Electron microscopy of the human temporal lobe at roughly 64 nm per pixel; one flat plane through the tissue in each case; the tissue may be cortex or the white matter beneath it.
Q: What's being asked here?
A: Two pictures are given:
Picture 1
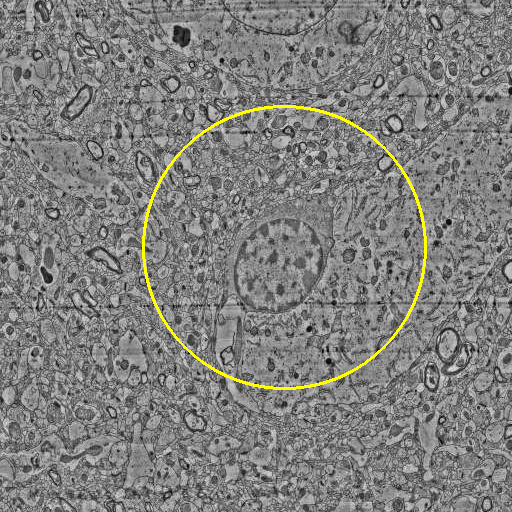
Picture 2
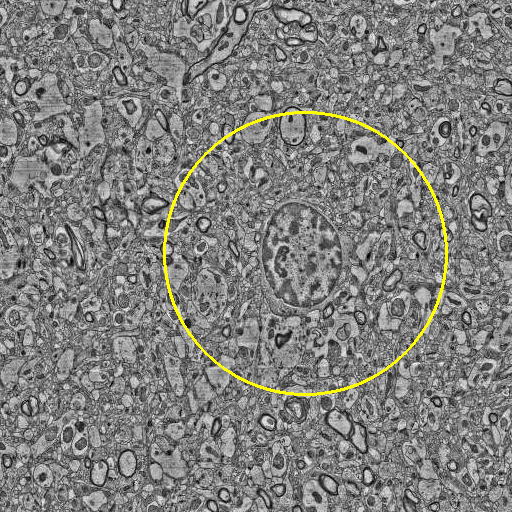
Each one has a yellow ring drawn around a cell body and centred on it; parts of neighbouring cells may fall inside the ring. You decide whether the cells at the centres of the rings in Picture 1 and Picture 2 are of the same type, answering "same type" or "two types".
same type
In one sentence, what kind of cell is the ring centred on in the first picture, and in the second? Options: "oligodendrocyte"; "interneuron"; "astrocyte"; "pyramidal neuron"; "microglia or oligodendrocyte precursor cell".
Both rings mark an oligodendrocyte, one in each picture.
